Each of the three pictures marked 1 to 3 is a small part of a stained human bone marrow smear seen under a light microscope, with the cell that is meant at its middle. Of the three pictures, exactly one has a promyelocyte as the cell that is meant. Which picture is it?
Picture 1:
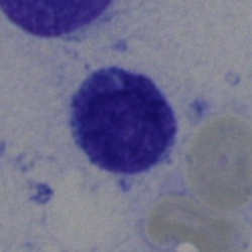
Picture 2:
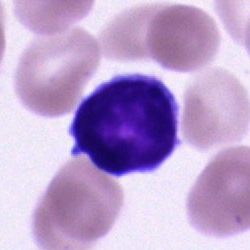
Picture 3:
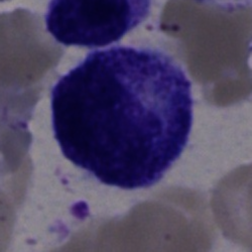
3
